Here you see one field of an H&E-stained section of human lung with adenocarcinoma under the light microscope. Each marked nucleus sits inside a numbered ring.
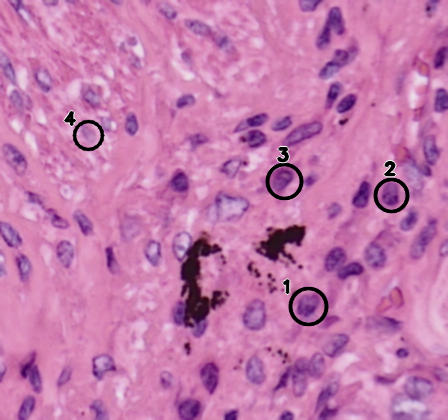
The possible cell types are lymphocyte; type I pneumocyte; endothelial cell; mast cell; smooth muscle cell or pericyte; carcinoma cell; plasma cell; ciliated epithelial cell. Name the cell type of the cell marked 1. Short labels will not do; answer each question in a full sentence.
In the tissue shown, cell 1 is a plasma cell.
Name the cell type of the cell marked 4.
Heads up, the cell numbered 4 is a smooth muscle cell or pericyte.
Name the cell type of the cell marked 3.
The one labeled 3 is a plasma cell, to put it simply.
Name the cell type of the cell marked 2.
The cell identified by the number 2 is a plasma cell.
